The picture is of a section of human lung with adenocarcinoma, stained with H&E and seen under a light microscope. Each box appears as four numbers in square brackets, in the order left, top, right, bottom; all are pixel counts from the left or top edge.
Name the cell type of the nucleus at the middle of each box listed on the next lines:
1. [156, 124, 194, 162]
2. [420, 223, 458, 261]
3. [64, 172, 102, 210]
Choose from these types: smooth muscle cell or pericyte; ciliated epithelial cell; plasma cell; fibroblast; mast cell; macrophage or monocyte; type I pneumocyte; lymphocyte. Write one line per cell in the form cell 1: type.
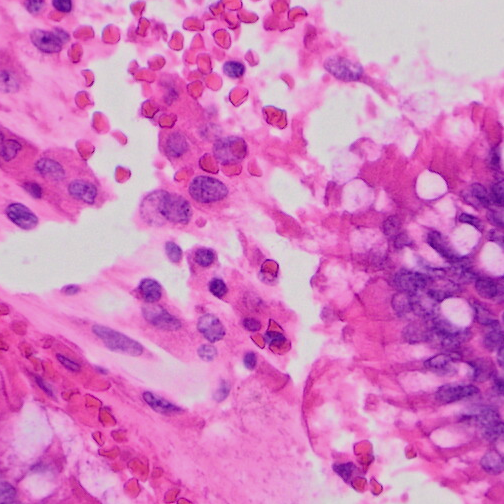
cell 1: macrophage or monocyte
cell 2: ciliated epithelial cell
cell 3: macrophage or monocyte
